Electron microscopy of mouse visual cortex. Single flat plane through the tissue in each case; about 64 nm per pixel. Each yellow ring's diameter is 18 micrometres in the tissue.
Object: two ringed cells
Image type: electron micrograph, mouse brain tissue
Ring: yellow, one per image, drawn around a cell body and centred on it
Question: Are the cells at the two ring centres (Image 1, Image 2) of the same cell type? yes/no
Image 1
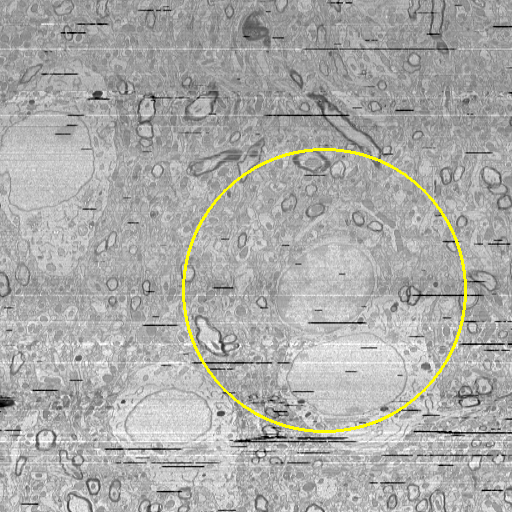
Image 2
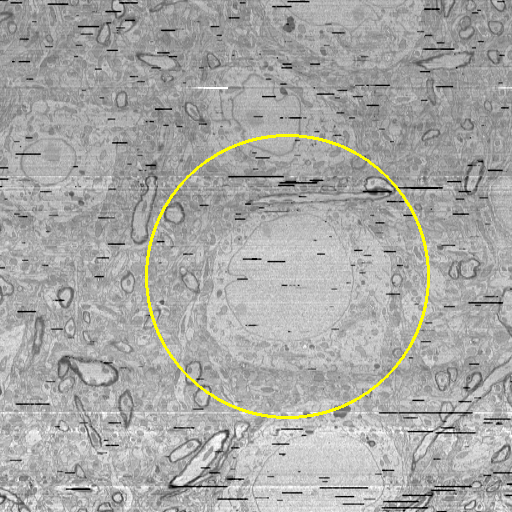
no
